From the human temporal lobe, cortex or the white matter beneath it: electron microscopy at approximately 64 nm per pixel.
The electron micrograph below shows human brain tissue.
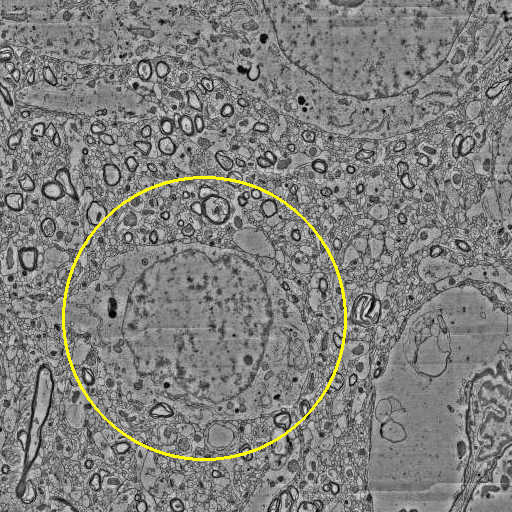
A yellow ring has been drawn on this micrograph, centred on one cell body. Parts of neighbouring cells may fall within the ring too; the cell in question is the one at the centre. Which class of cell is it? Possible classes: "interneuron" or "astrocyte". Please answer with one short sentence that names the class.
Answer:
In the centre of the ring sits an interneuron.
